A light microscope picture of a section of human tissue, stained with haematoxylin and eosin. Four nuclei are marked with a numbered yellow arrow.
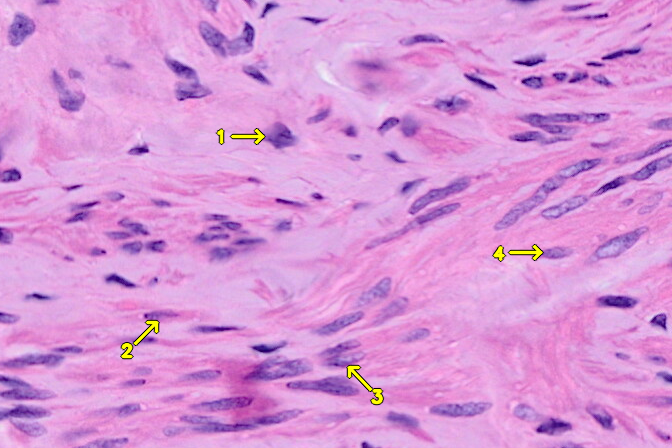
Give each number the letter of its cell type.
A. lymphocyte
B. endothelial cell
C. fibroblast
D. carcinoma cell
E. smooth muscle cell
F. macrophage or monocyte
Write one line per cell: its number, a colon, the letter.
1: C
2: E
3: E
4: E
